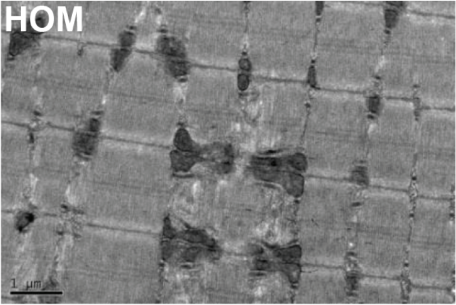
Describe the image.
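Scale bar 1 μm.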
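Longitudinal section of skeletal muscle with parallel myofibrils crossed by regularly spaced dark Z-lines. Between the myofibrils at the level of the Z-lines lie electron-dense mitochondria that are enlarged. Many of these mitochondria are broad and irregular, some triangular, and several span the space between adjacent fibrils. Some areas between fibrils appear paler and less orderly than the surrounding striated myofibrils.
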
